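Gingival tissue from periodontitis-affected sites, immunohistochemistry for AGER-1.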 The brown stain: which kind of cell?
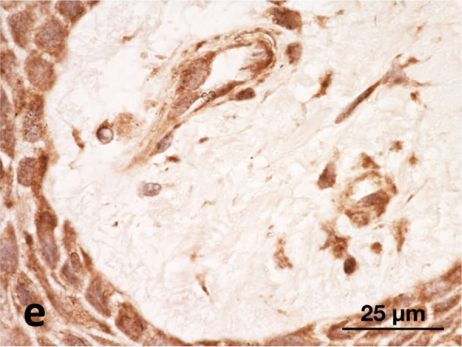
Endothelial and inflammatory cells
